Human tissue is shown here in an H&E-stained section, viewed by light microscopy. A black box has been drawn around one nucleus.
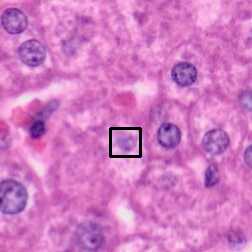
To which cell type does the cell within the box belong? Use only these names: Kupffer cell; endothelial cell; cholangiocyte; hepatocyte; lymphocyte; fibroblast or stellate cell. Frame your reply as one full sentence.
What the cell within the box represents is a hepatocyte.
